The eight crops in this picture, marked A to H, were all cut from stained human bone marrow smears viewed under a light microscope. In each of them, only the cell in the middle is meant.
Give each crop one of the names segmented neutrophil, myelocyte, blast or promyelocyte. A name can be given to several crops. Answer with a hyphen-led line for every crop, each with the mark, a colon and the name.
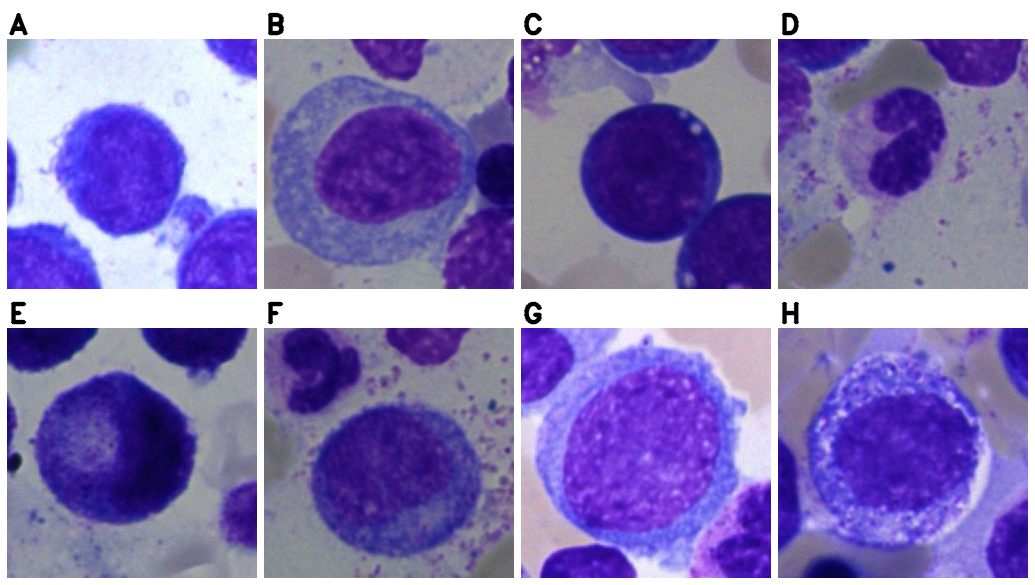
- A: blast
- B: blast
- C: blast
- D: segmented neutrophil
- E: promyelocyte
- F: promyelocyte
- G: blast
- H: promyelocyte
